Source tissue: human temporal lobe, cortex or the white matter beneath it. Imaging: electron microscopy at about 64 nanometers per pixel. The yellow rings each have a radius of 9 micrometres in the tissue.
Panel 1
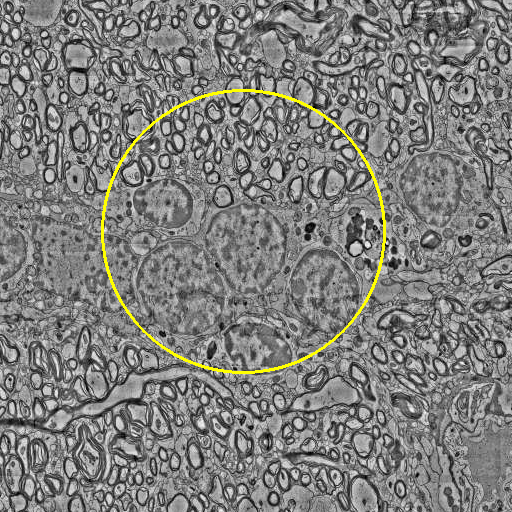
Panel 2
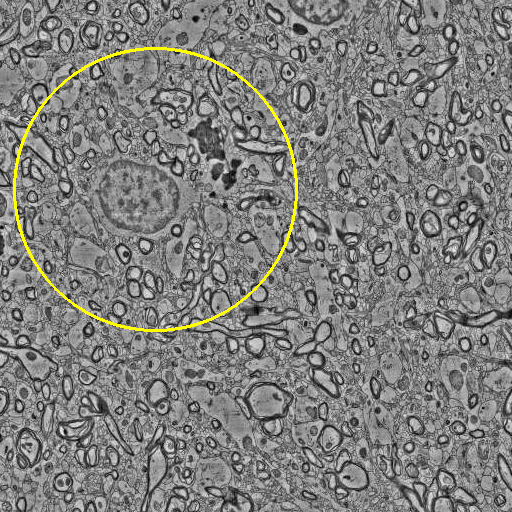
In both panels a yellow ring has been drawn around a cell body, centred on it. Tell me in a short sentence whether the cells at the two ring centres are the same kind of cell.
Yes, they are the same kind of cell.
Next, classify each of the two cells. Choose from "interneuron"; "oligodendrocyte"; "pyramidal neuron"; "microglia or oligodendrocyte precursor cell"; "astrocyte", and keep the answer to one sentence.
Both cells are the same kind, each one being an oligodendrocyte.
